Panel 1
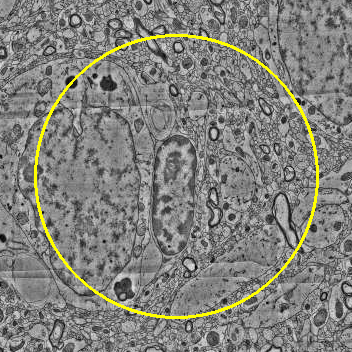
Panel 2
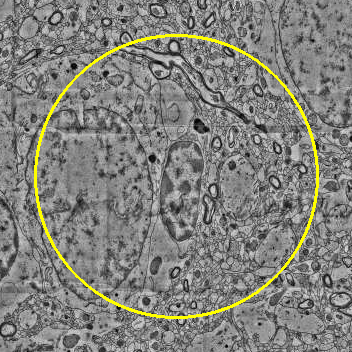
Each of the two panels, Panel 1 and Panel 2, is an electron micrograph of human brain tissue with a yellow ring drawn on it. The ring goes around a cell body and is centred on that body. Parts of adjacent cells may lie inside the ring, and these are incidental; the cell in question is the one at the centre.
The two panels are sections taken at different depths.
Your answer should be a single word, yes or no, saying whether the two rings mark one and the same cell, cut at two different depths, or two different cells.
yes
